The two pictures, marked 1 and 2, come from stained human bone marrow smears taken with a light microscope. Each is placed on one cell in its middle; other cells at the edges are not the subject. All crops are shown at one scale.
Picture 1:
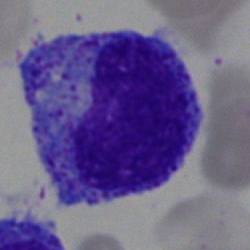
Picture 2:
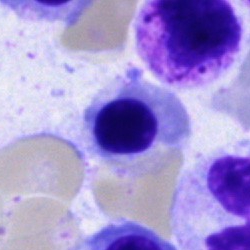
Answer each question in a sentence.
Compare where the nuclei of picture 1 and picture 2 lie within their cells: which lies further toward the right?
In picture 1 the nucleus is shifted more toward the right.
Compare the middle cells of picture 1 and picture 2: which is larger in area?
The cell in picture 1 is larger, with about 4 times the area of the one in picture 2.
